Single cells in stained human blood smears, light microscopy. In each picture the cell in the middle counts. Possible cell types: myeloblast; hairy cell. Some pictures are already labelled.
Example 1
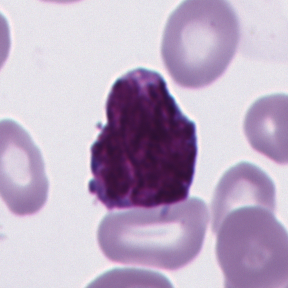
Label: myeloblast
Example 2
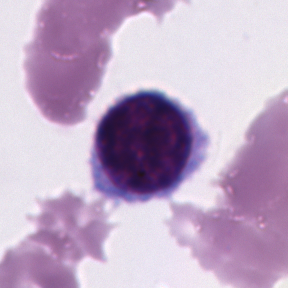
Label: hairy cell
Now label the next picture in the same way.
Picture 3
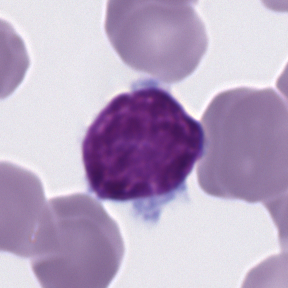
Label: hairy cell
